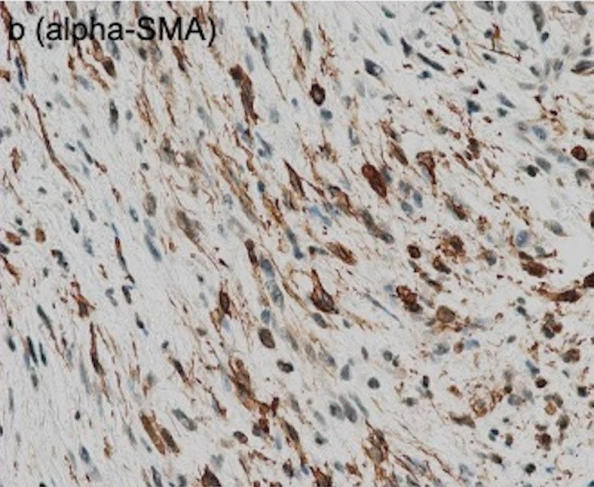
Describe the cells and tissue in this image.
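Spindle-shaped and plump tumor cells run in loose streaming bundles, many with brown-stained cytoplasm and elongated processes, between blue nuclei of unstained cells. Some stained cells are rounded and larger, with irregular blue nuclei.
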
